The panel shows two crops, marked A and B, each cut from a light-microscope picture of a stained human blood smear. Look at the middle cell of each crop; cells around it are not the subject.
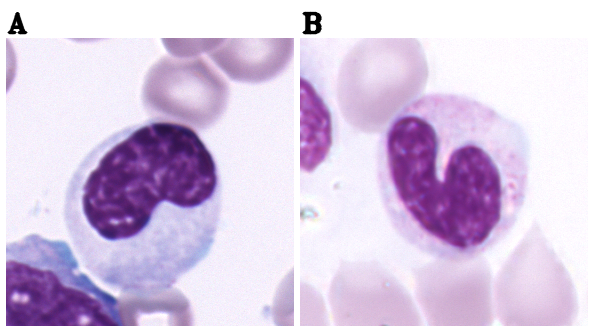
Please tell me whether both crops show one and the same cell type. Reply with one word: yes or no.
yes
